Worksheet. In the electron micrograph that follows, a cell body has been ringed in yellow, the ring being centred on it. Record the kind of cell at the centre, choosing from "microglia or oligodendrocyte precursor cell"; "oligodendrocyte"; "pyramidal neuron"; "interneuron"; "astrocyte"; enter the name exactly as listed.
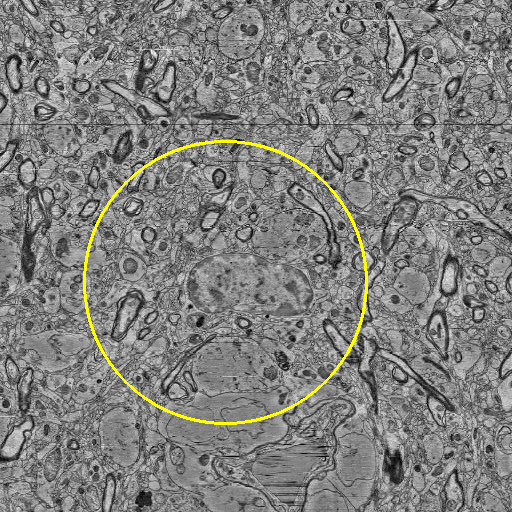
microglia or oligodendrocyte precursor cell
